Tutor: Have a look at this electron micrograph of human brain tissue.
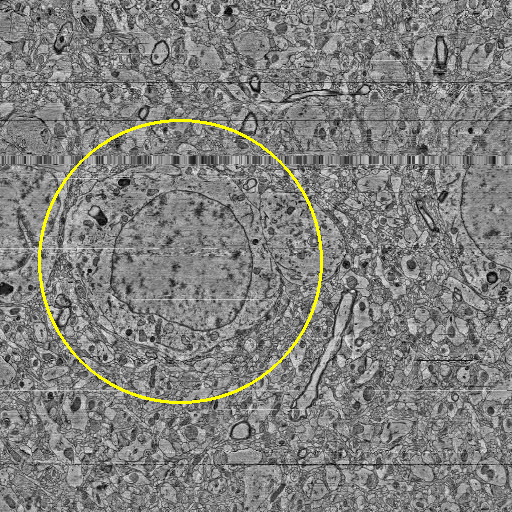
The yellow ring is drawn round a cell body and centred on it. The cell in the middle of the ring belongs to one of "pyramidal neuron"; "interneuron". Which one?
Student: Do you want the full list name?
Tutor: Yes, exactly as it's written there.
pyramidal neuron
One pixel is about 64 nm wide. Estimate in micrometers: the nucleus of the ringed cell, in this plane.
Roughly 9 micrometers across in this plane.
